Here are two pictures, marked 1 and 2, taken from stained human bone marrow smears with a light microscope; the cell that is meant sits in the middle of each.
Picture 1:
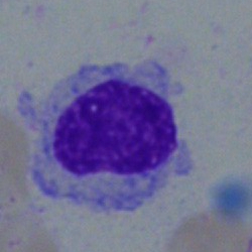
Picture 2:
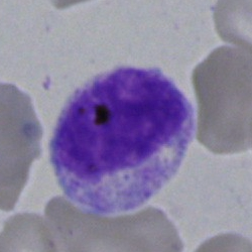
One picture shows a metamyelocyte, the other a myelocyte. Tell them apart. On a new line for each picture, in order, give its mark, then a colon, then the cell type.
1: metamyelocyte
2: myelocyte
